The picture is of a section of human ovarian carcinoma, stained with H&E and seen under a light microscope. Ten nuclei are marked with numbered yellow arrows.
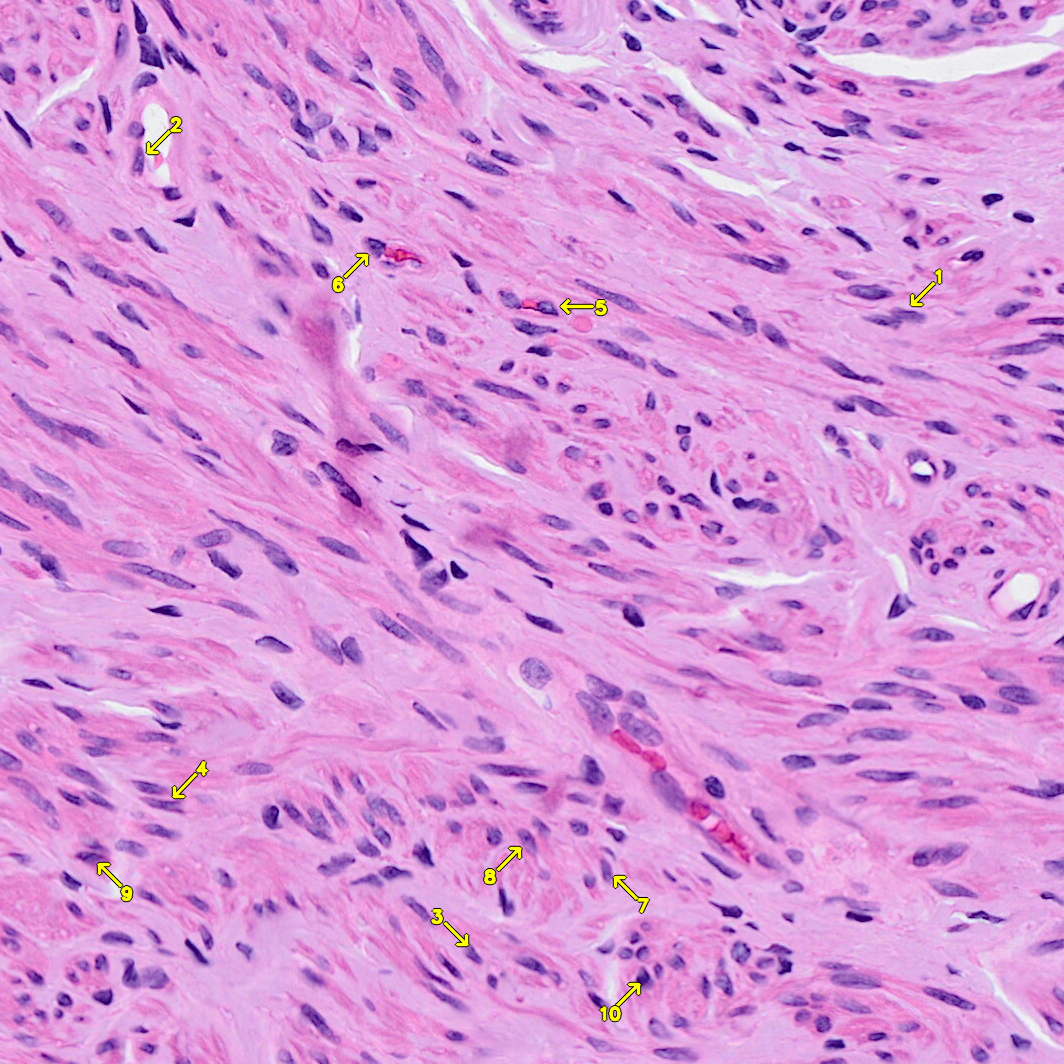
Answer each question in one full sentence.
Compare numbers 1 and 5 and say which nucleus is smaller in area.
Number 5 is smaller, since number 1 takes up about 2.5 times as much area.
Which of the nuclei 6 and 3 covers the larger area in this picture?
The larger nucleus is 6, at roughly 1.5 times the area of 3.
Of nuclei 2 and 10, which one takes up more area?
Of the two, number 2 is bigger and takes up about 1.5 times the area of number 10.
